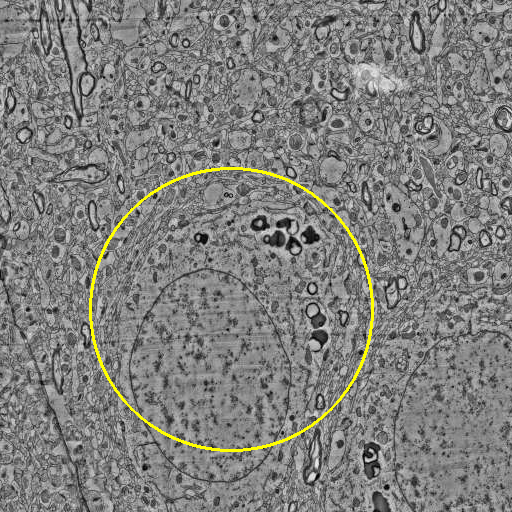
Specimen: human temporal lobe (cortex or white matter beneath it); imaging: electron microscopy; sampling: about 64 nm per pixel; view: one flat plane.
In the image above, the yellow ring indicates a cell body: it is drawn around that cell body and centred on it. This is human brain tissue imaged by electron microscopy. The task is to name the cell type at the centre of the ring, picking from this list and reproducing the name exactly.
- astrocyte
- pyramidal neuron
pyramidal neuron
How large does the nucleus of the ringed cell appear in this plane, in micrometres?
In this plane, the nucleus of the cell at the centre of the ring measures about 14 by 10 micrometres.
